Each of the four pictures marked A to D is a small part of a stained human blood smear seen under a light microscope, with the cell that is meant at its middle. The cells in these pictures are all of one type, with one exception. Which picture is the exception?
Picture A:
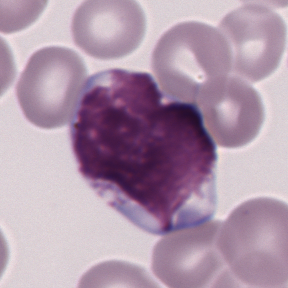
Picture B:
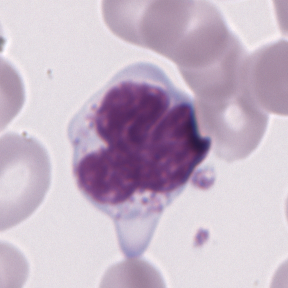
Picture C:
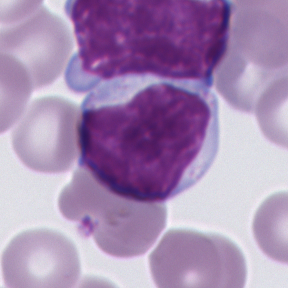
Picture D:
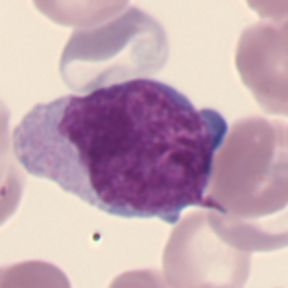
D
